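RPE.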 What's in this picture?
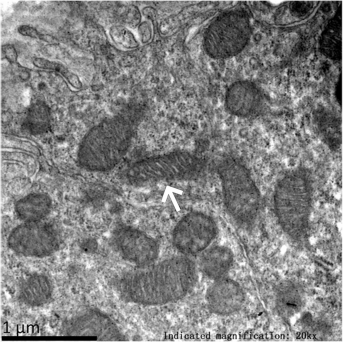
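This is the cytoplasm of a retinal pigment epithelial cell at high magnification, crowded with oval and elongated mitochondria. Each has a clear double membrane and a dense matrix crossed by regular parallel cristae, well seen in the elongated one at the arrow. Between them lies finely granular cytoplasm with scattered ribosome-like particles and a few membrane profiles at the upper left.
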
